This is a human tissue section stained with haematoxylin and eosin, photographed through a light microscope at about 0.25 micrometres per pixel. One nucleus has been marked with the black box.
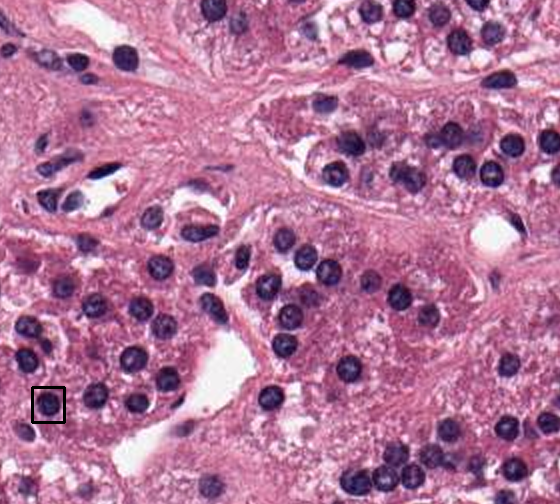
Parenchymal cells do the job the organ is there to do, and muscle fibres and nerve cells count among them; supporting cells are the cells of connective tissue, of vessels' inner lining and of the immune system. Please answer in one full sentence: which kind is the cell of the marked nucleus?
The marked nucleus is held by a parenchymal cell, namely an adrenal cortical cell.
